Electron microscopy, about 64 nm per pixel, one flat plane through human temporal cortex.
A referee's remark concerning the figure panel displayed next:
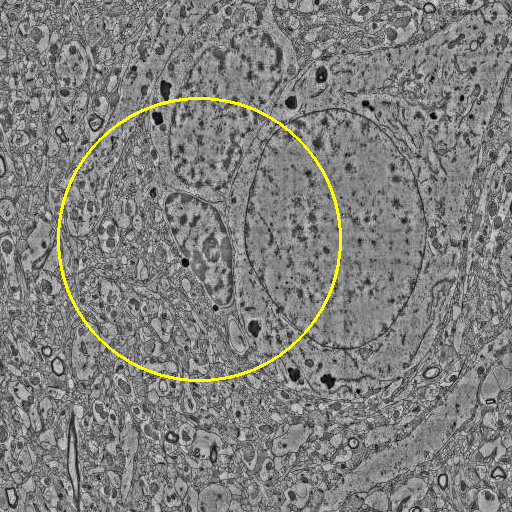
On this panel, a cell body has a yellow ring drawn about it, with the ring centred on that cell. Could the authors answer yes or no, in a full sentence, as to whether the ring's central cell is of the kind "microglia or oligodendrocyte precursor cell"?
Yes, the cell sitting at the middle of the ring on this panel belongs to that kind.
